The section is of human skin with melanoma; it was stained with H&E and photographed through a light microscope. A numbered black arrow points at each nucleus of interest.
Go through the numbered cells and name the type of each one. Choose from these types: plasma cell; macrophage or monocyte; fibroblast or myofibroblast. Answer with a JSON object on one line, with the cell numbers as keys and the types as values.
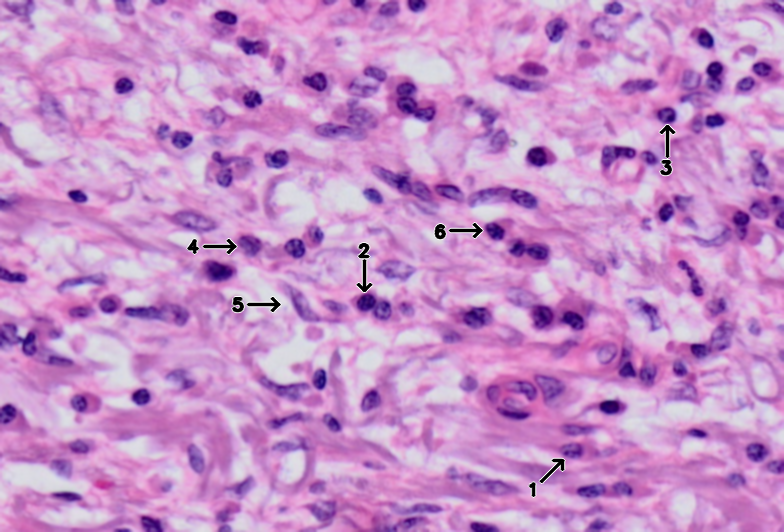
{"1": "plasma cell", "2": "plasma cell", "3": "plasma cell", "4": "macrophage or monocyte", "5": "fibroblast or myofibroblast", "6": "plasma cell"}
